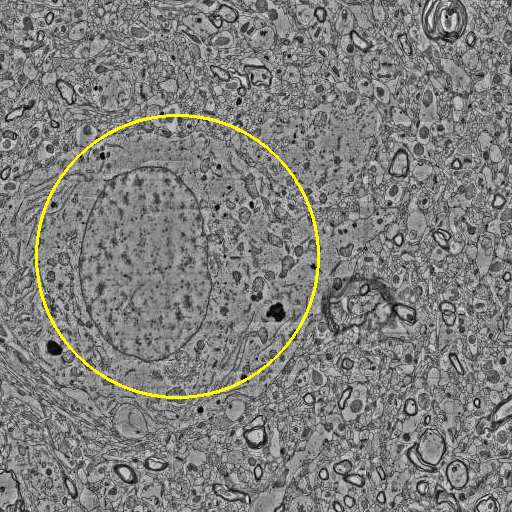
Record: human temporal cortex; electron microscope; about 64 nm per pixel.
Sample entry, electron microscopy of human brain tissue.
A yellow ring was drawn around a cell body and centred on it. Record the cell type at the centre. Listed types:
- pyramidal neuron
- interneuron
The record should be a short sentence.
The cell at the ring's centre is an interneuron.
